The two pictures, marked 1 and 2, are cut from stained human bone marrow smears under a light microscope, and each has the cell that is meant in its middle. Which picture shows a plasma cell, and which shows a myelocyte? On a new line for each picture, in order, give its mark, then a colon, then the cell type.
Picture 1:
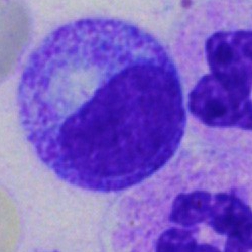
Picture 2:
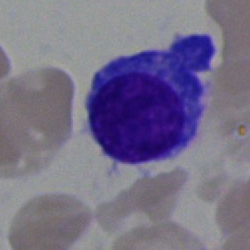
1: myelocyte
2: plasma cell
